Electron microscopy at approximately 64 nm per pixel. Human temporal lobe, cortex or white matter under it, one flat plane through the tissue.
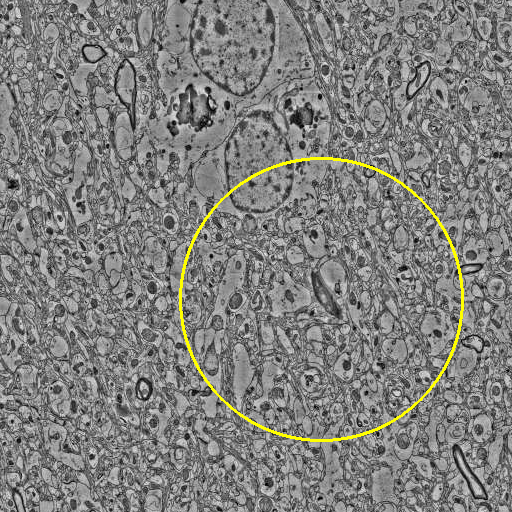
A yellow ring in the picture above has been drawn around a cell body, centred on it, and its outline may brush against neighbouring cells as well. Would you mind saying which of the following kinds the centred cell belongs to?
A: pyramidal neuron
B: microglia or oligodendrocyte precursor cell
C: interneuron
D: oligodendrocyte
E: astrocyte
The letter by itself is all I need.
E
